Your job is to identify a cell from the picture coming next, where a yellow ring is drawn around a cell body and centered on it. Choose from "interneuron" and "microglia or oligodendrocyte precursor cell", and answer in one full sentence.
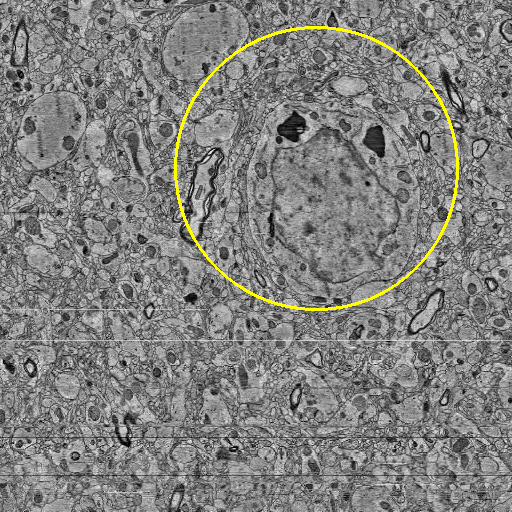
Centered in the yellow ring of the picture is the body of an interneuron.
